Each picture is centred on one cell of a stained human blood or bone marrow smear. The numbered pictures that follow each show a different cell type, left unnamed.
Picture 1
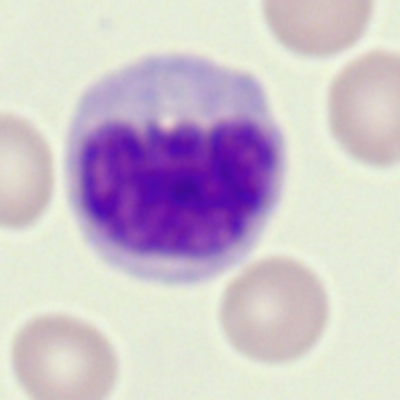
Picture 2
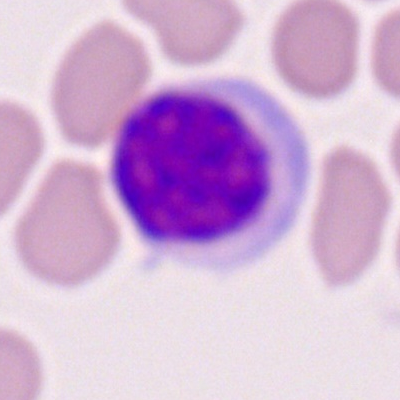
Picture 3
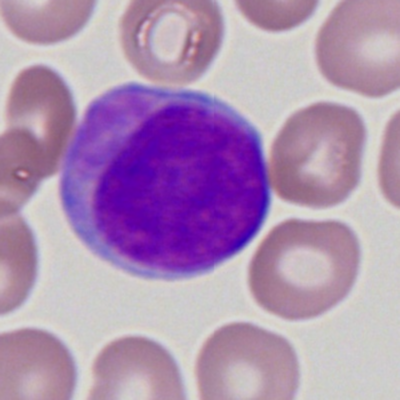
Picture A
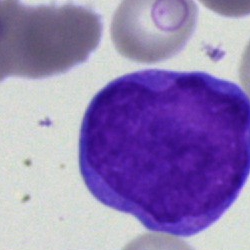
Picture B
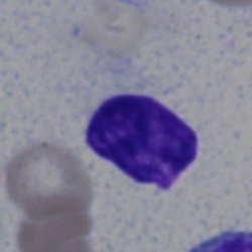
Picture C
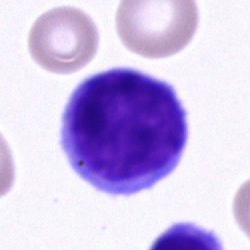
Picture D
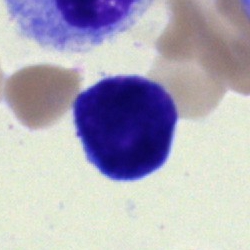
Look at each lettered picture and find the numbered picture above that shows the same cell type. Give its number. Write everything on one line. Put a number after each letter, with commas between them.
A 3, B 2, C 2, D 2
